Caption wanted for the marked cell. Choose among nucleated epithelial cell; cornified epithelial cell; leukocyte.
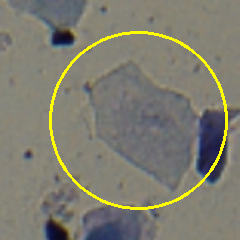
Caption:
Ringed in yellow is a cornified epithelial cell.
